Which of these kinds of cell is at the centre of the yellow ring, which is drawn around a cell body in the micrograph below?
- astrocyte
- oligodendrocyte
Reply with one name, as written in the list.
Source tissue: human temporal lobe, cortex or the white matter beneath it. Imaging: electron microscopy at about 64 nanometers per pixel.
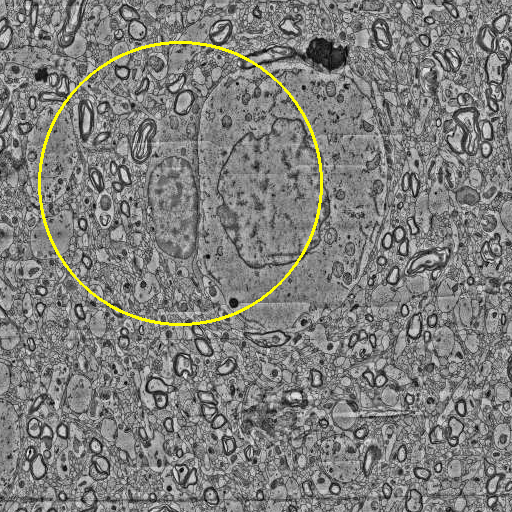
oligodendrocyte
